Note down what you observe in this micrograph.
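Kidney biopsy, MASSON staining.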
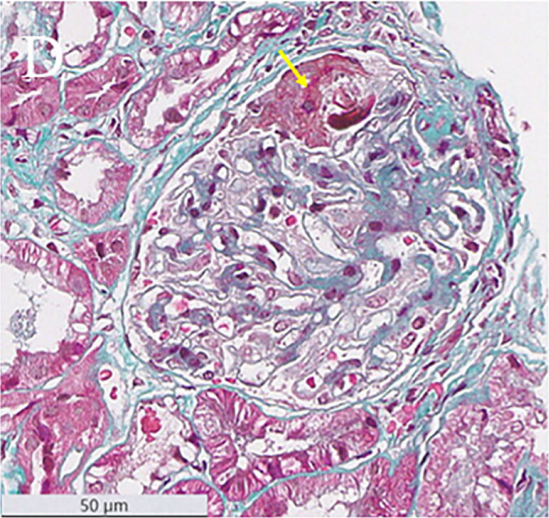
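At the upper edge of the tuft a segment is replaced by bright red, glassy, structureless material, the appearance of fibrinoid necrosis. The rest of the tuft looks pale and bluish-grey with scattered dark nuclei, and green fibres run around the glomerulus.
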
